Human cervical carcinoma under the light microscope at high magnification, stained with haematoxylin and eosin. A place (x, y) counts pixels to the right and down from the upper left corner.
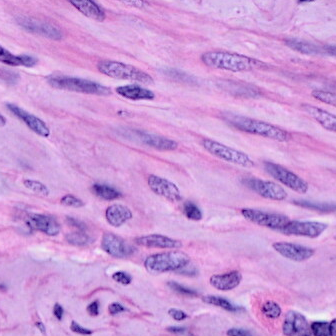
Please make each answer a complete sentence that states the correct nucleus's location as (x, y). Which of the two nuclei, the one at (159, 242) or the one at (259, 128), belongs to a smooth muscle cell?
The nucleus lying at (259, 128) is the nucleus of a smooth muscle cell.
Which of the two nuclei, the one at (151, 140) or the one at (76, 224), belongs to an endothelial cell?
The nucleus at (76, 224) is the member of the pair belonging to an endothelial cell.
